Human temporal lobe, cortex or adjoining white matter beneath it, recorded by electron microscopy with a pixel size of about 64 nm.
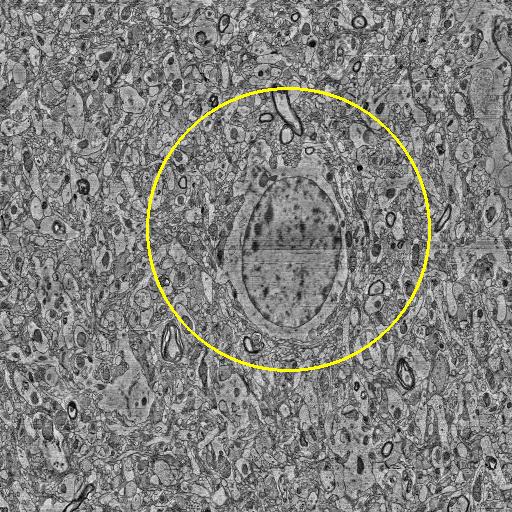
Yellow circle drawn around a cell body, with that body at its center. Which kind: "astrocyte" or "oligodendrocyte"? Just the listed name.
astrocyte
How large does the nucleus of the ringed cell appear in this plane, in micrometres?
The ringed cell's nucleus is roughly 10 by 6 micrometres and clearly longer than it is wide in this plane.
